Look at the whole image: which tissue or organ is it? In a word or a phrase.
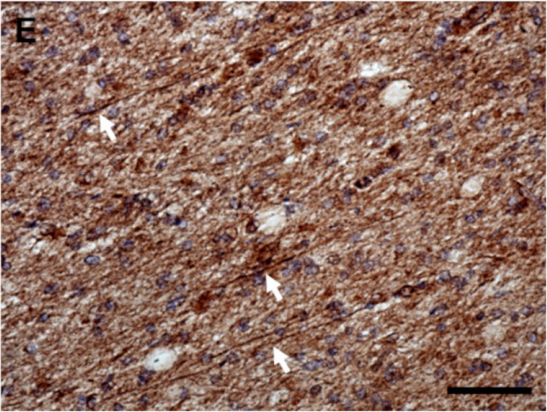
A: White matter.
